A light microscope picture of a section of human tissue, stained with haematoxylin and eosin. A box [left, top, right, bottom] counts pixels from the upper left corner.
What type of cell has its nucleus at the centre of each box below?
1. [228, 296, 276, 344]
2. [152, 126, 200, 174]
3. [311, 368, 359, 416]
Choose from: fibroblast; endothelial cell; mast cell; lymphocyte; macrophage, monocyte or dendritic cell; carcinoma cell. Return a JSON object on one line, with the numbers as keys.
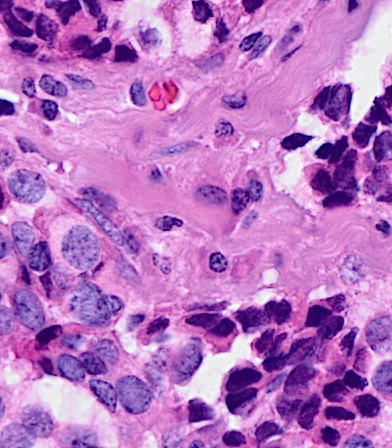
{"1": "carcinoma cell", "2": "fibroblast", "3": "carcinoma cell"}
